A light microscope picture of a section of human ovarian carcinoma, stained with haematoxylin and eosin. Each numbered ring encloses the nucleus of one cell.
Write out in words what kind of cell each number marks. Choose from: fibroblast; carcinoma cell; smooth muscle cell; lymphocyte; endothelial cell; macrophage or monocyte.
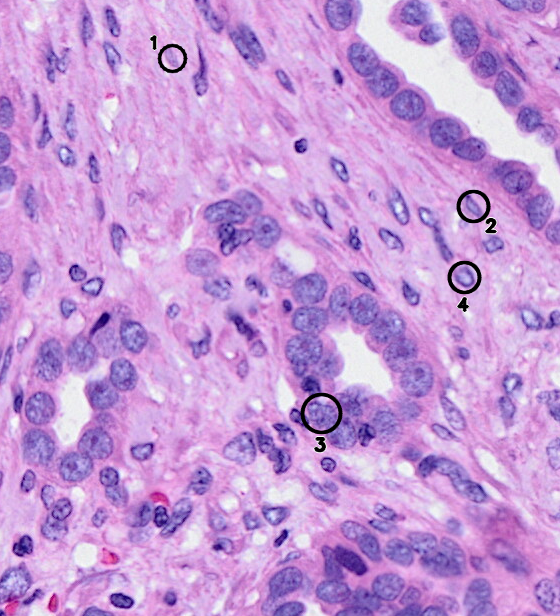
Cell 1 is a fibroblast, cell 2 is a fibroblast, cell 3 is a carcinoma cell and cell 4 is a fibroblast.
